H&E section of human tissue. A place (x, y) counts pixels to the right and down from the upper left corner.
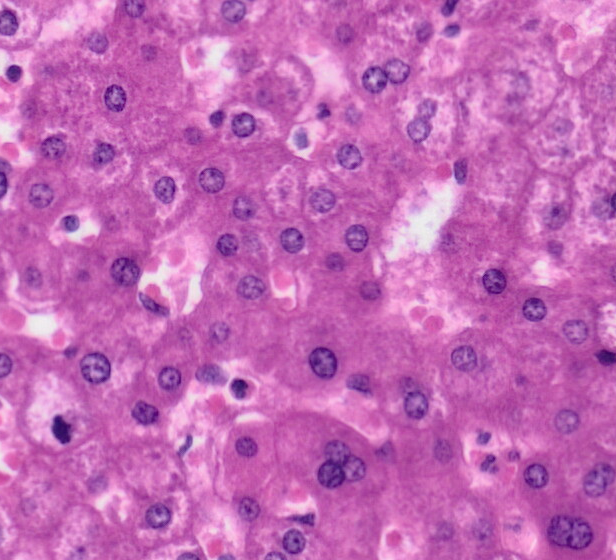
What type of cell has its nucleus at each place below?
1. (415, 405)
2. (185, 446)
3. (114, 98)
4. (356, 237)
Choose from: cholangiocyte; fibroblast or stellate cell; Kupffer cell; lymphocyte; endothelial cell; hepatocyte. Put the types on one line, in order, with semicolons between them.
hepatocyte; endothelial cell; hepatocyte; hepatocyte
